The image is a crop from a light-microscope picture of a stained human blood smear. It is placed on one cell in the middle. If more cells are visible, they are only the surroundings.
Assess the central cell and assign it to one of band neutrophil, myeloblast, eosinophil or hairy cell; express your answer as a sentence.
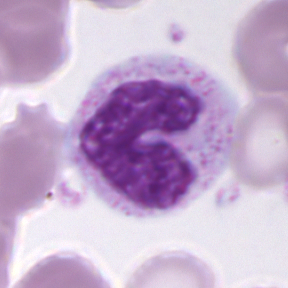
The cell around which this crop is centred is a band neutrophil.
